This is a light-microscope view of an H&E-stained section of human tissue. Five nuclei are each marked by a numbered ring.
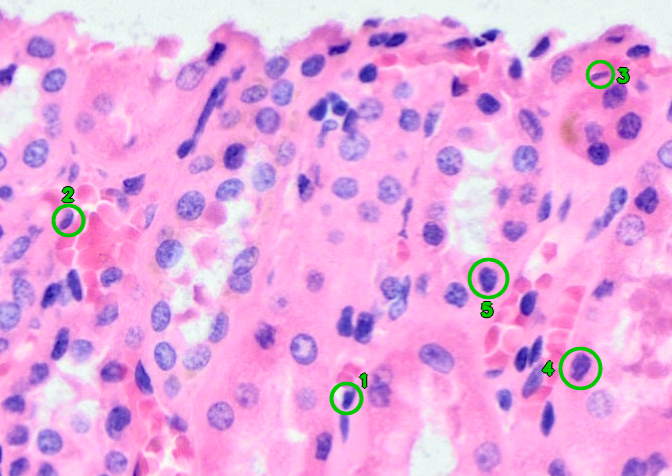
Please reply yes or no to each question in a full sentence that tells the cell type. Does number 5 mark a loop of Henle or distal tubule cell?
Yes, the cell whose number is 5 is a loop of Henle or distal tubule cell.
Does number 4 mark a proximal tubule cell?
Yes, on this slide, the cell with number 4 is a proximal tubule cell.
